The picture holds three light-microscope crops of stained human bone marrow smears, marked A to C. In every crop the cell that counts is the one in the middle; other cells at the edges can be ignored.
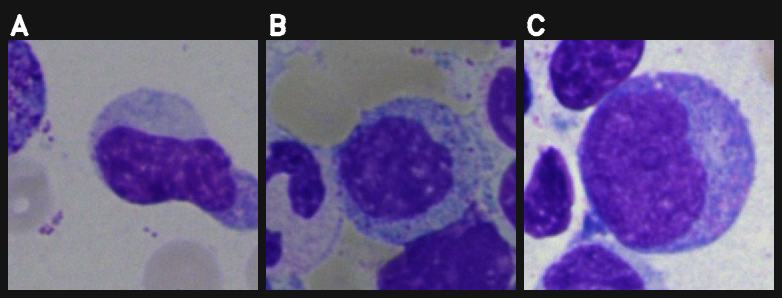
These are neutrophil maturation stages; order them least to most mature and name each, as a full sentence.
In order from least mature to most mature, the crops stand crop C (a promyelocyte), crop B (a myelocyte) and crop A (a band neutrophil).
